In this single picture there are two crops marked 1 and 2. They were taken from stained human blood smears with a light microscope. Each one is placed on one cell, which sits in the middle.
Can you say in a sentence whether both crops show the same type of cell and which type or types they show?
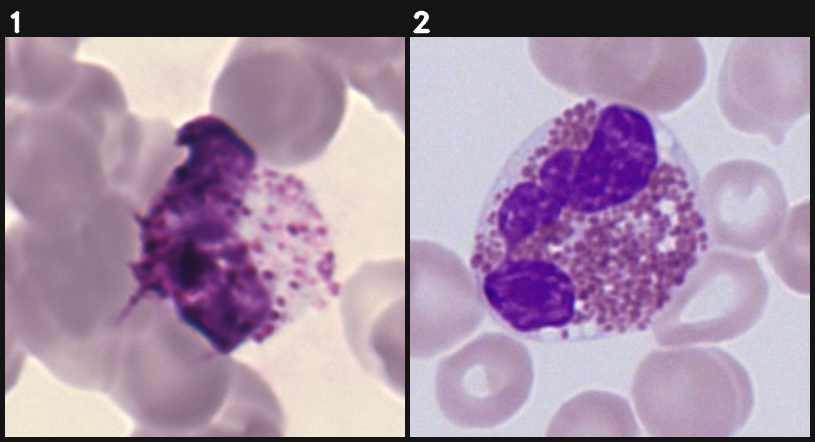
No, the assignment should read crop 1, a basophil; crop 2, an eosinophil.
